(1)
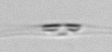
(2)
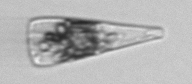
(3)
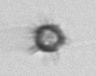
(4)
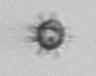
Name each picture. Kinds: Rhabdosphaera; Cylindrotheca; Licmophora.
1: Cylindrotheca
2: Licmophora
3: Rhabdosphaera
4: Rhabdosphaera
